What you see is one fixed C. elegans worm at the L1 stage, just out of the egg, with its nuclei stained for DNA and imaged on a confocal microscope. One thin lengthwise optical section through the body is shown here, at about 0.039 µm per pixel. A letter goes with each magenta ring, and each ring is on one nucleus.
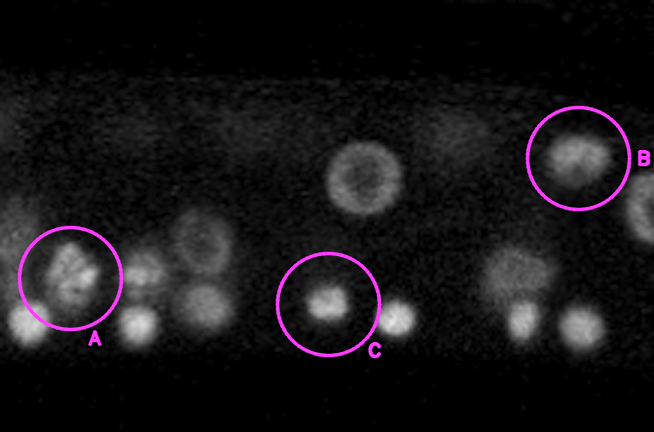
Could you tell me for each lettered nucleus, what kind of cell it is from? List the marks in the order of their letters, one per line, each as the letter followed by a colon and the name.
A: germ line precursor
B: body wall muscle cell
C: body wall muscle cell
